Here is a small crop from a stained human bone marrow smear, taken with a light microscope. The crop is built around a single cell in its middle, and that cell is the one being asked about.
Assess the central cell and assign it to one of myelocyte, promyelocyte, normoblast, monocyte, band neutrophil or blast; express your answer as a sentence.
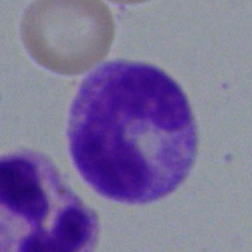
The centered cell in this crop is a band neutrophil.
